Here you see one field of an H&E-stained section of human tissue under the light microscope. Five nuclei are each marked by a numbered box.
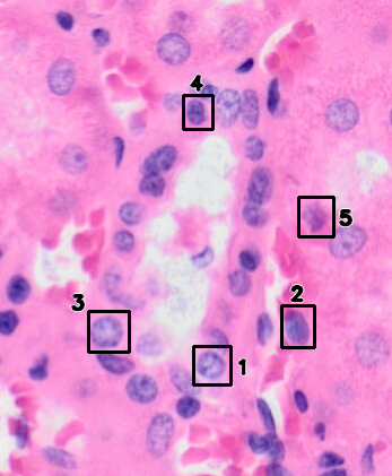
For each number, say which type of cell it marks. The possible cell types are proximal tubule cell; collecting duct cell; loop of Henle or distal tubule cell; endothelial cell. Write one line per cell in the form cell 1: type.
cell 1: collecting duct cell
cell 2: endothelial cell
cell 3: collecting duct cell
cell 4: collecting duct cell
cell 5: proximal tubule cell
